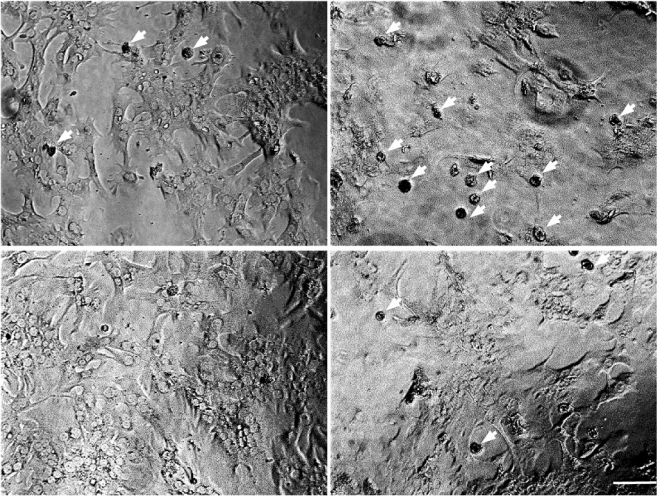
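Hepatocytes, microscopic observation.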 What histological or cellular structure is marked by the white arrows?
apoptotic bodies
